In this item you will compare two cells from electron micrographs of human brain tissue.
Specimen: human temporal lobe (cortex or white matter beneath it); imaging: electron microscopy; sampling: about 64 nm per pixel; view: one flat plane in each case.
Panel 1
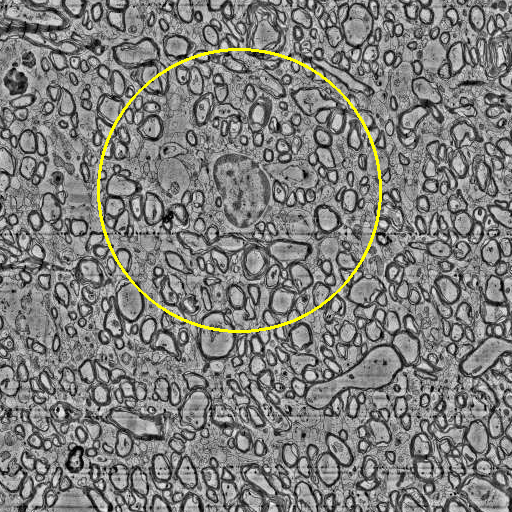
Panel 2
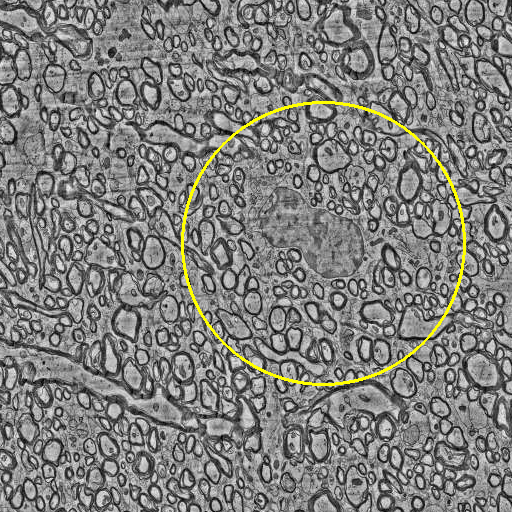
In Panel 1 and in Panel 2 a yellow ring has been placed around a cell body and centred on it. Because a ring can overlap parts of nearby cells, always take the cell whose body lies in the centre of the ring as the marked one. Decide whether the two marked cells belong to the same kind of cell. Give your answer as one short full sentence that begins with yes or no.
Yes, the two marked cells belong to the same kind of cell.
